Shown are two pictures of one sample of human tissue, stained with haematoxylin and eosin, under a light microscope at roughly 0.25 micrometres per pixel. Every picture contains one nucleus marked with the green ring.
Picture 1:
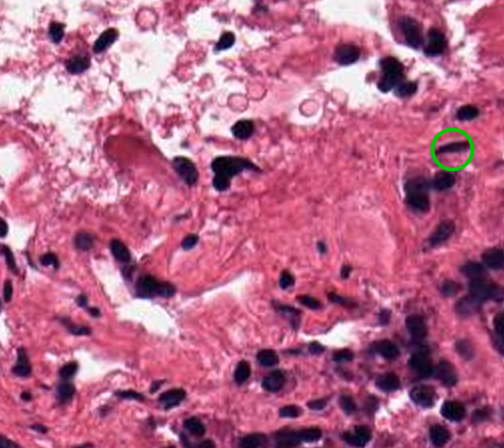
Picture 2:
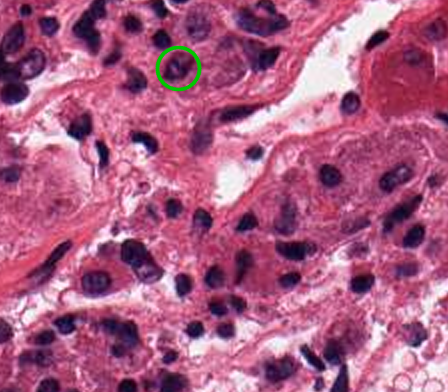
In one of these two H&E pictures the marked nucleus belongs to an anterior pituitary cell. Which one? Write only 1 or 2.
2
